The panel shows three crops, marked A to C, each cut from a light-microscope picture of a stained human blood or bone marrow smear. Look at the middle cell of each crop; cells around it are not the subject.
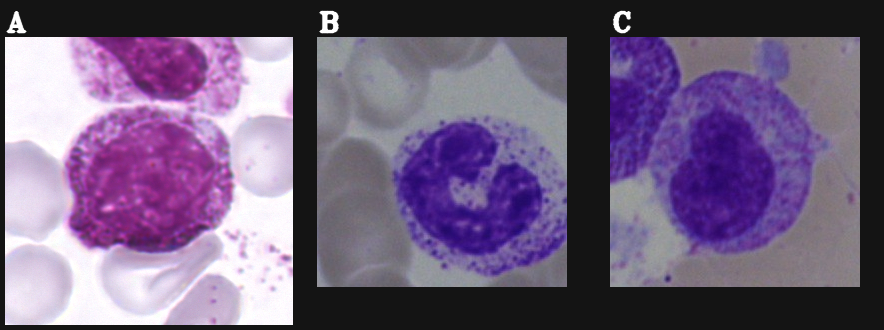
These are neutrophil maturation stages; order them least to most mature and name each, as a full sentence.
Placed in order of rising maturity, the crops stand as crop A (a myelocyte), crop C (a metamyelocyte) and crop B (a band neutrophil).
